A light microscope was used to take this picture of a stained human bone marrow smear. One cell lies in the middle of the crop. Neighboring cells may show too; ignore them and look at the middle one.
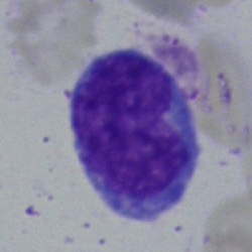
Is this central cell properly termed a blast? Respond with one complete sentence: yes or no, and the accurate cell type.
Yes, it is a blast that occupies the centre of the crop.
